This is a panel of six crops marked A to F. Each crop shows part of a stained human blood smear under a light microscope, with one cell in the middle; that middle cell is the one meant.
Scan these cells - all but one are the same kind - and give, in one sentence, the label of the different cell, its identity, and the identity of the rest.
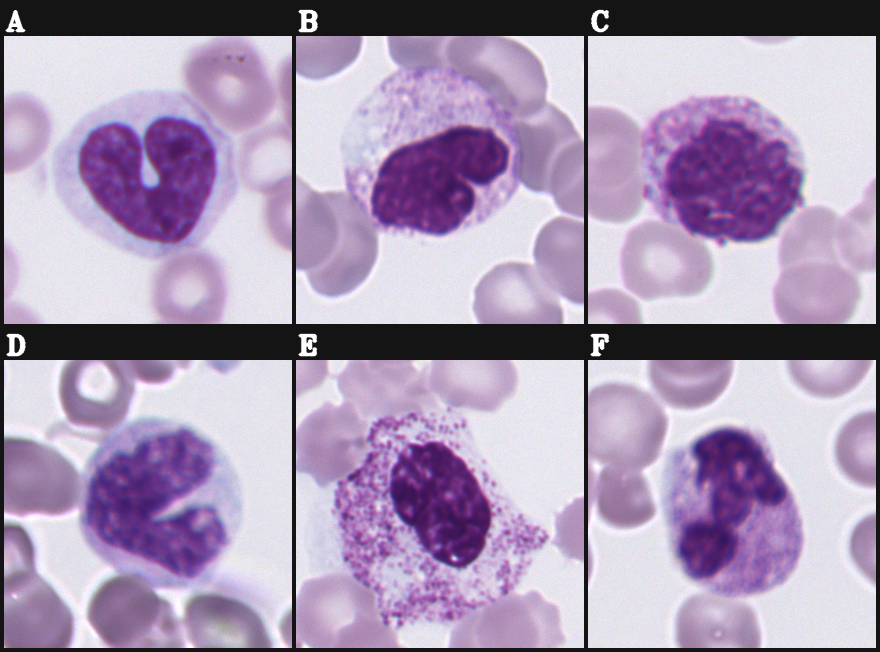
Unlike the other crops, all showing band neutrophils, crop F is a segmented neutrophil.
